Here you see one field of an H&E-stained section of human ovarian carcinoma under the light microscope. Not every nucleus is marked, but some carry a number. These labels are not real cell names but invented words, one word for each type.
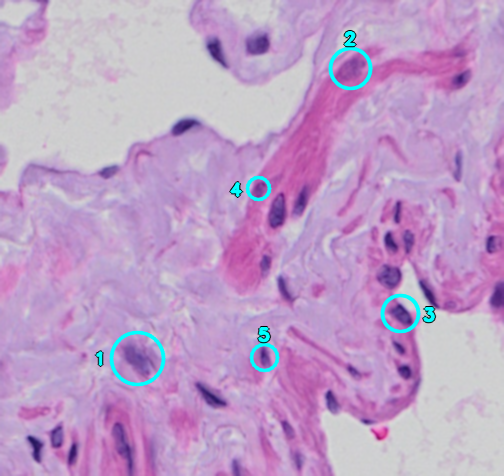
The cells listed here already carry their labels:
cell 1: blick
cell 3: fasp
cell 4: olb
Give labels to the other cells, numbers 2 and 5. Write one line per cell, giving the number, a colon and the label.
2: olb
5: olb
